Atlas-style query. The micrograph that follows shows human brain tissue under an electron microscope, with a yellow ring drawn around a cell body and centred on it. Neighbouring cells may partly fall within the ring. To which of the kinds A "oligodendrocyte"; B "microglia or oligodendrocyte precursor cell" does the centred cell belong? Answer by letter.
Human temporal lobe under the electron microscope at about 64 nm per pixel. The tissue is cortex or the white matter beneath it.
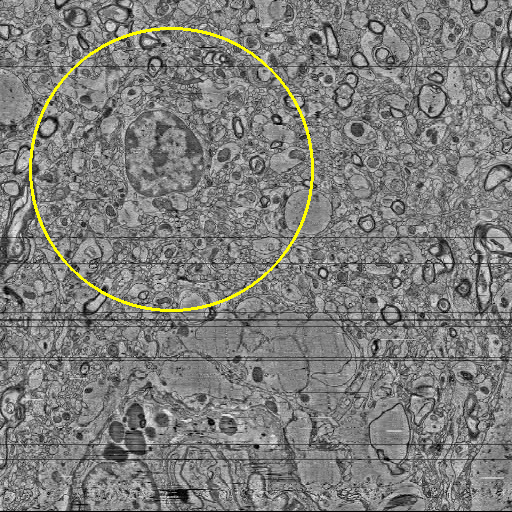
B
